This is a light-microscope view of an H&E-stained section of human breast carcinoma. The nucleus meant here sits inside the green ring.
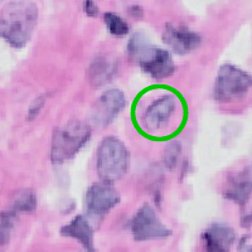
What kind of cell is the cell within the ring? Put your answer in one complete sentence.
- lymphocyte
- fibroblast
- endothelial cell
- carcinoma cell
The cell meant here is an endothelial cell.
